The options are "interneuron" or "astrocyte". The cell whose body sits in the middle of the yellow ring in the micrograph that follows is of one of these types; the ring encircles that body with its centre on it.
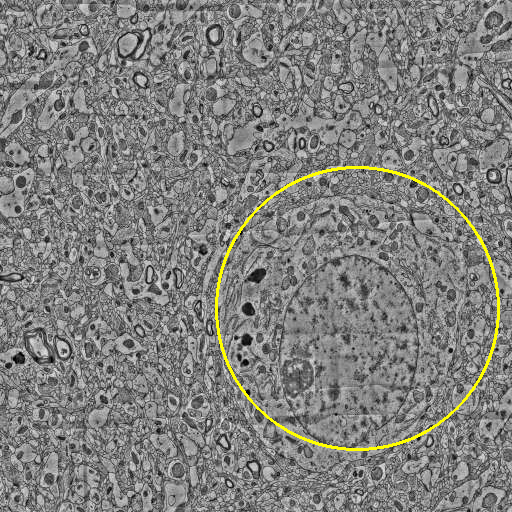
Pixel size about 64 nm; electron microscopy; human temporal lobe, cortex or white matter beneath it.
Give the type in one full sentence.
Going by the micrograph, the cell centred in the yellow ring is an interneuron.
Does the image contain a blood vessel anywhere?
No, there is no blood vessel.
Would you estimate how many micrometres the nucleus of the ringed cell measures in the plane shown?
In this plane, the nucleus is roughly 12 by 9 micrometres.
